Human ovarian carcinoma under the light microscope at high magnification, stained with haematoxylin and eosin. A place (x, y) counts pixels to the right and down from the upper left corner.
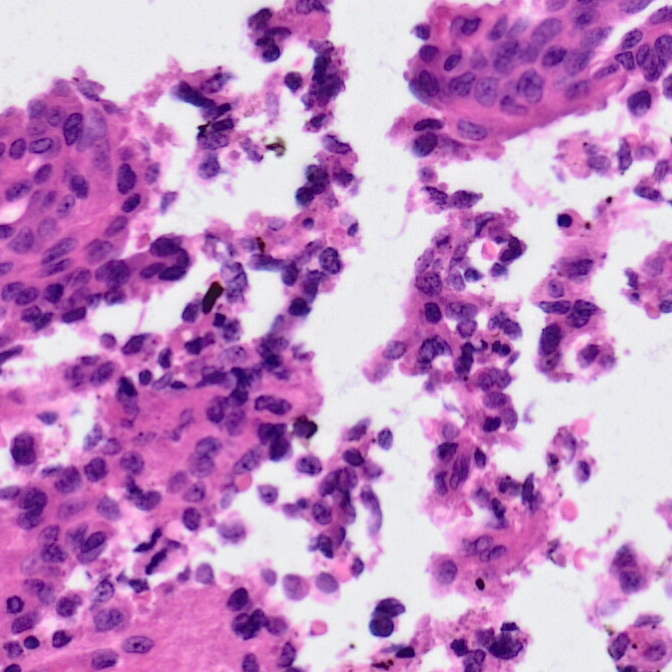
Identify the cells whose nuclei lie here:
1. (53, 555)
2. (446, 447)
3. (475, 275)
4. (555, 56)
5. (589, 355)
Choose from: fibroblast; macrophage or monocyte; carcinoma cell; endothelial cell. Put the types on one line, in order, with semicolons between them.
carcinoma cell; macrophage or monocyte; carcinoma cell; carcinoma cell; macrophage or monocyte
